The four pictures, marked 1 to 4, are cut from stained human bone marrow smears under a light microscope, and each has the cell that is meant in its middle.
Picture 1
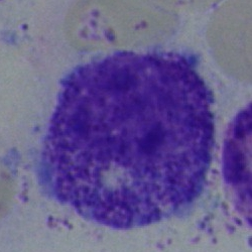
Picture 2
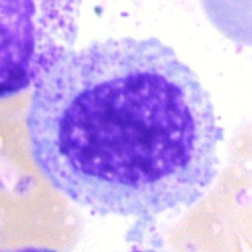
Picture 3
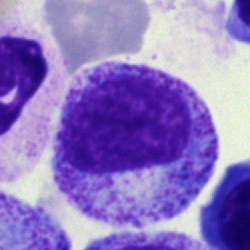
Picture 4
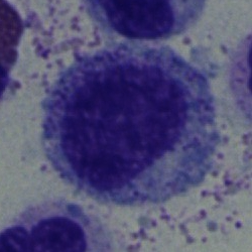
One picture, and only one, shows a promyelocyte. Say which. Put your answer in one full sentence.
Picture 4 is the one that shows the promyelocyte.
